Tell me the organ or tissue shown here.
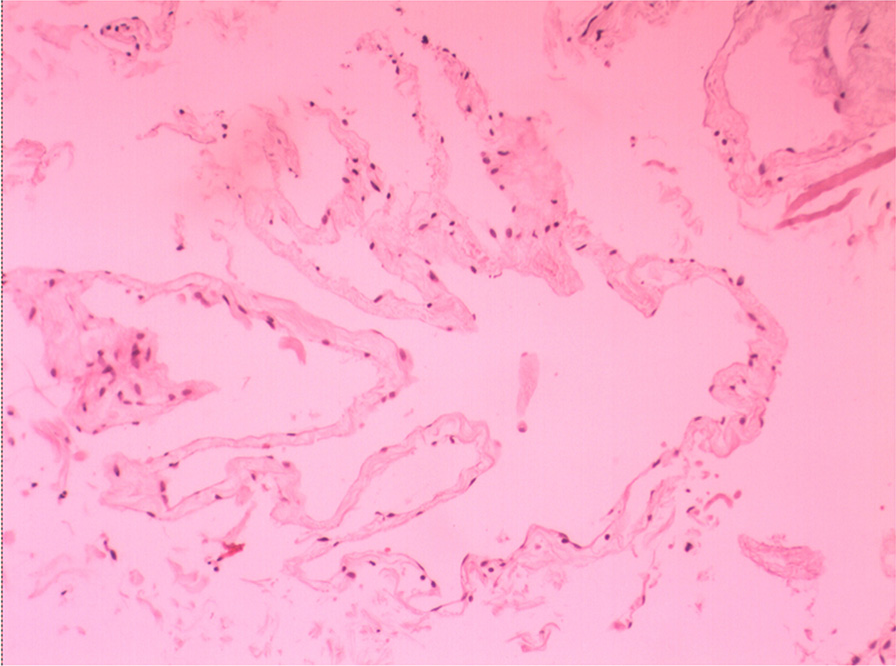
Cystic wall-like tissue.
